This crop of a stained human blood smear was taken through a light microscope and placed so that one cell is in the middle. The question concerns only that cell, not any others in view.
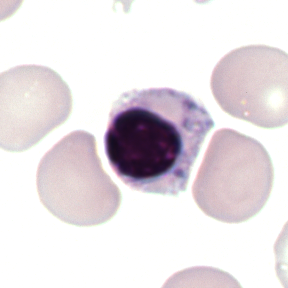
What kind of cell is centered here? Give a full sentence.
Standing at the centre of this crop is a normoblast.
